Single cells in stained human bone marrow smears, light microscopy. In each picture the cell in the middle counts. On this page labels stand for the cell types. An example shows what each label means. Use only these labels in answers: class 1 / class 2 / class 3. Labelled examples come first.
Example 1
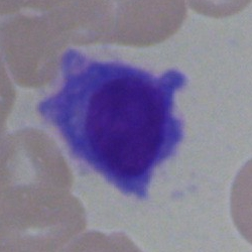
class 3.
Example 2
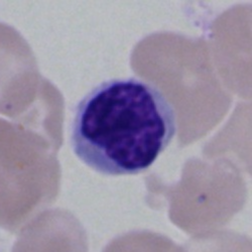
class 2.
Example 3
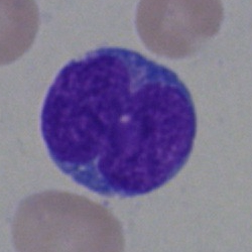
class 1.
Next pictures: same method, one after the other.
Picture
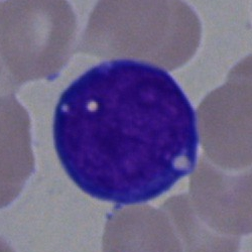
class 1.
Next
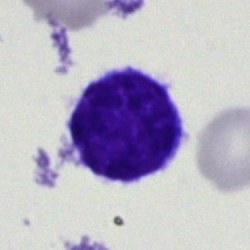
class 2.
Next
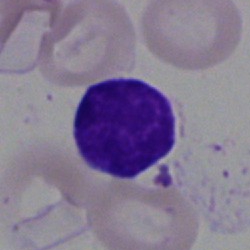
class 2.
